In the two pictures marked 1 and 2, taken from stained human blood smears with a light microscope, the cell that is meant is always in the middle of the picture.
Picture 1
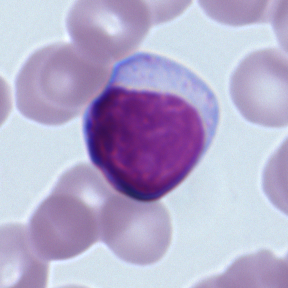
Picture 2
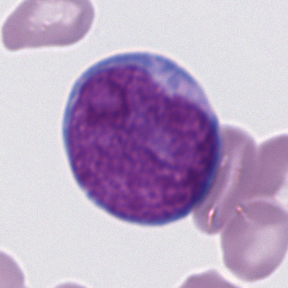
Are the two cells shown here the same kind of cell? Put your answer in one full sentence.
No, picture 1 shows a large granular lymphocyte and picture 2 shows a myeloblast.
